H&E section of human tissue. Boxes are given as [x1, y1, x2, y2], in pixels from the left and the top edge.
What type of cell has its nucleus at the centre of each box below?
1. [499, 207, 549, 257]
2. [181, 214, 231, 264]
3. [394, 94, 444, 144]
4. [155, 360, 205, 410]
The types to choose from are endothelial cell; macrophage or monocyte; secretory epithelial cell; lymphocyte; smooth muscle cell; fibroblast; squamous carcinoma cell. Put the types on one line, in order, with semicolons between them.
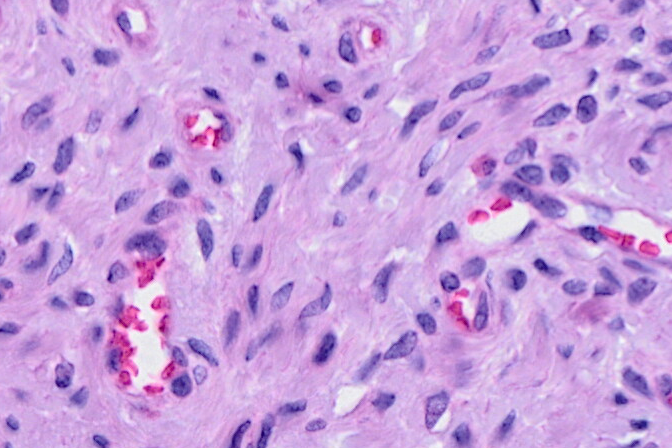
endothelial cell; fibroblast; fibroblast; endothelial cell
